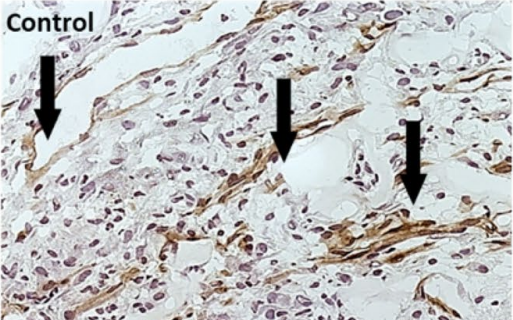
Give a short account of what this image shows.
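The brown cells are thin and spindle-shaped with elongated nuclei, lying in strands and sheets that border clear, open lumens. Between the vessels lies pale, loose matrix with scattered cells bearing oval blue nuclei.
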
